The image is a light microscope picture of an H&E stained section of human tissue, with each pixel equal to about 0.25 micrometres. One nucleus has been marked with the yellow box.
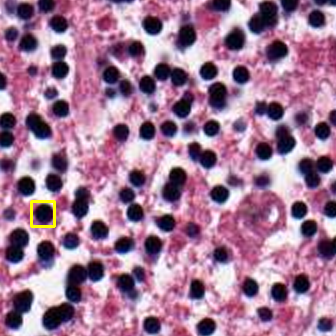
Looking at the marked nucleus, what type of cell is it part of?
cerebellar granule cell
